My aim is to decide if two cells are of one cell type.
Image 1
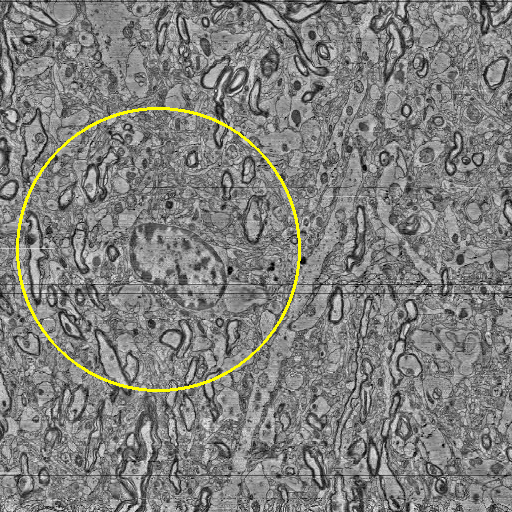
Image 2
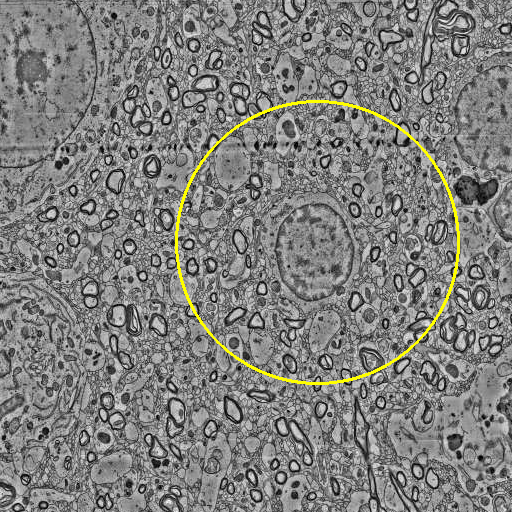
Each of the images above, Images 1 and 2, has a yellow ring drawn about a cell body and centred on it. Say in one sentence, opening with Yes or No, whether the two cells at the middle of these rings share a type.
No, in Images 1 and 2 the cells at the middle of the rings fall into two types.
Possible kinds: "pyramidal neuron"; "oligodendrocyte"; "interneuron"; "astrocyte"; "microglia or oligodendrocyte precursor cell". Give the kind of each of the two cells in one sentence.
The cell in the second picture is an oligodendrocyte, and that in the first is a microglial cell or oligodendrocyte precursor cell.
